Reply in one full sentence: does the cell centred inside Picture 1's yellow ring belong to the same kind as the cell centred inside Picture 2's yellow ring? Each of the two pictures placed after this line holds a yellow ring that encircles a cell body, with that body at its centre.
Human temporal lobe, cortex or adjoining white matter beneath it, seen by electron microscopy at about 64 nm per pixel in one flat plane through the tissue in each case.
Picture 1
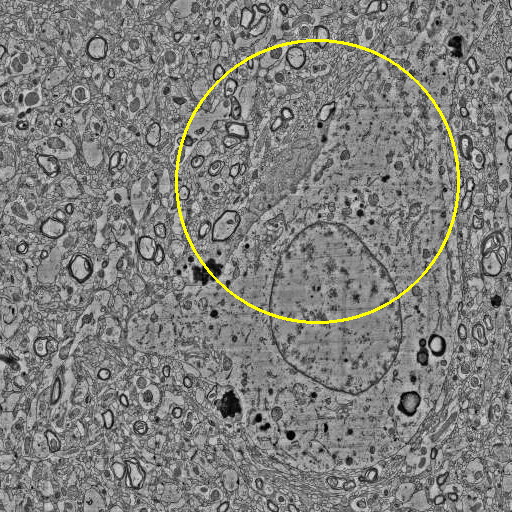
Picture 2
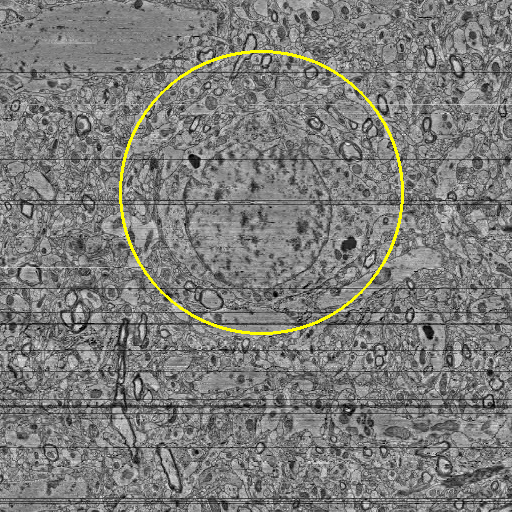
No, the ring-centred cells in Picture 1 and Picture 2 are of two separate kinds.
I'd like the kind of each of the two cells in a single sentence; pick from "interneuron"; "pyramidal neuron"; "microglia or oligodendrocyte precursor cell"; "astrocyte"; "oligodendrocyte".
The first ring marks an oligodendrocyte, and the second ring marks an interneuron.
